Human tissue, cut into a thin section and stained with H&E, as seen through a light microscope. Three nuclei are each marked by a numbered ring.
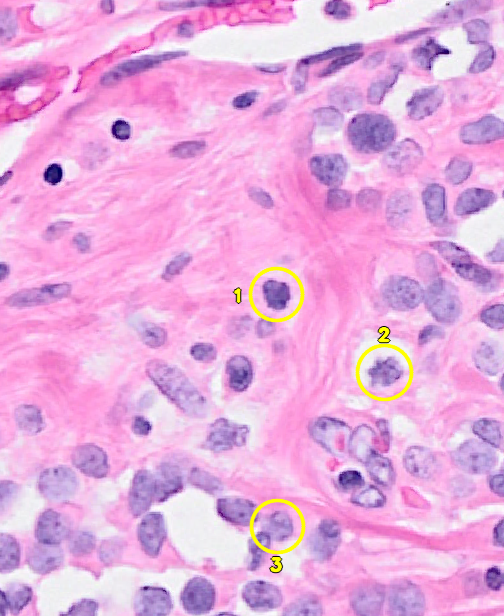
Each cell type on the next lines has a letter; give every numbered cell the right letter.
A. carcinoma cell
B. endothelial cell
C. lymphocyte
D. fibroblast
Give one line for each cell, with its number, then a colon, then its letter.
1: C
2: A
3: A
